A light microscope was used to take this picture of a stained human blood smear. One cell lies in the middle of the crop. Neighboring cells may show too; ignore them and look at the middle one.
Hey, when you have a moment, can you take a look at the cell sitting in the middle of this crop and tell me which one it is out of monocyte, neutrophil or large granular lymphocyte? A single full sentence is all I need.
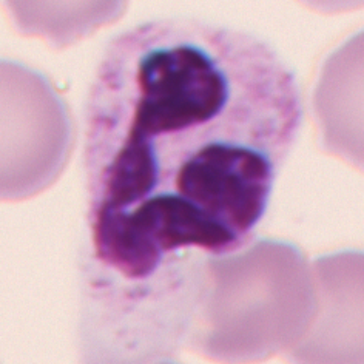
The middle of this crop is occupied by a neutrophil.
